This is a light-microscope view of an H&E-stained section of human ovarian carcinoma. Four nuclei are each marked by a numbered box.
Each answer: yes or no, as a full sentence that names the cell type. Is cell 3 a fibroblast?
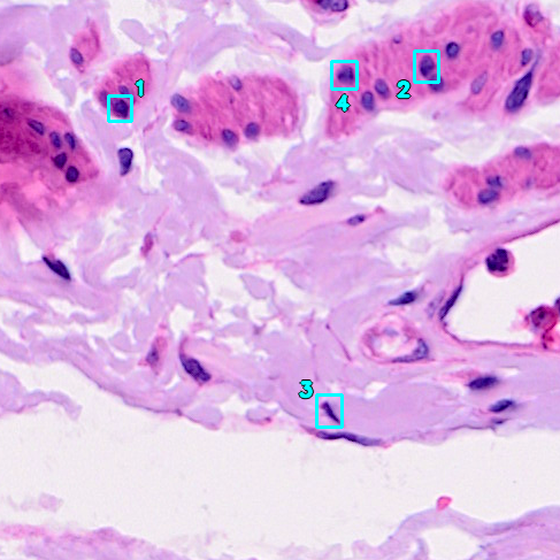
Yes, the cell whose number is 3 is a fibroblast.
